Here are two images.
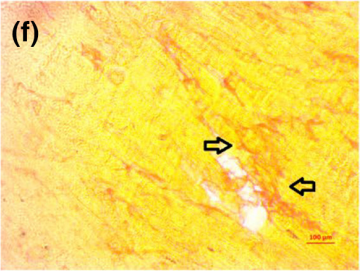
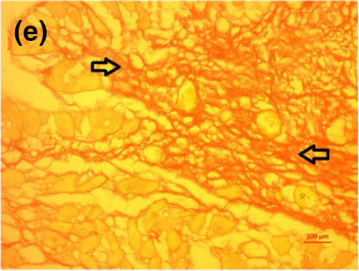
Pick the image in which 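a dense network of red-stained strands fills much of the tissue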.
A: The second image.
